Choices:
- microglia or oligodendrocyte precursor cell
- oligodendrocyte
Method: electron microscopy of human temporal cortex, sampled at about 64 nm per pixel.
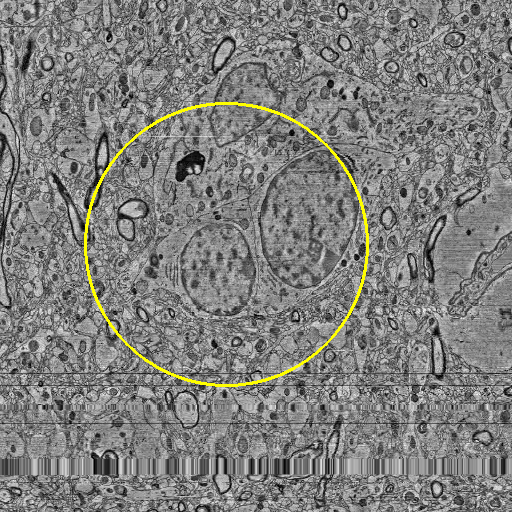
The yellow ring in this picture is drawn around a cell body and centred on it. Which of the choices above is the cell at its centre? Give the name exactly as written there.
microglia or oligodendrocyte precursor cell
